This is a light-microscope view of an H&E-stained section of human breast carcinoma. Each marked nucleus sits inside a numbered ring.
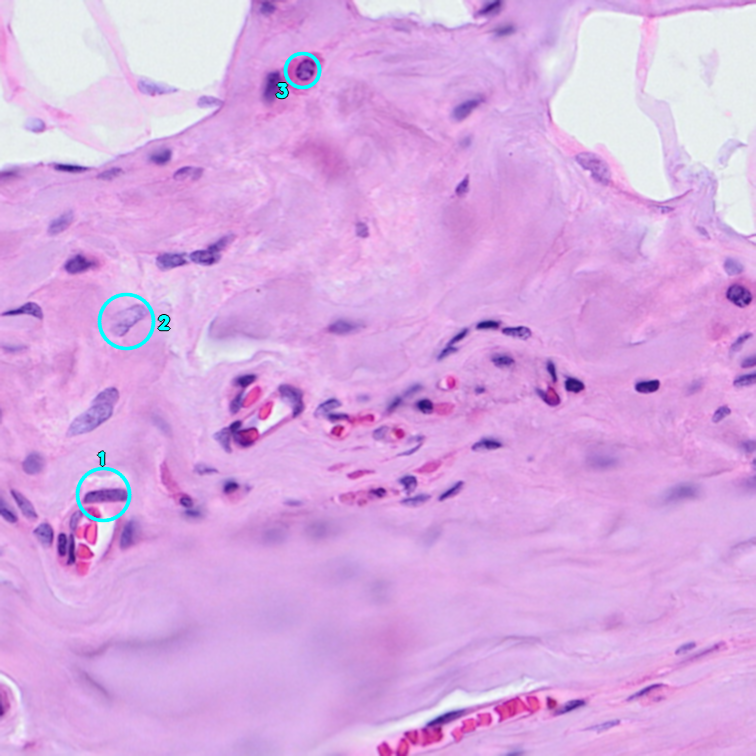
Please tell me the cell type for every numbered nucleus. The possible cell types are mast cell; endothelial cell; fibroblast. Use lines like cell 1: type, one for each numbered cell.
cell 1: endothelial cell
cell 2: fibroblast
cell 3: mast cell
